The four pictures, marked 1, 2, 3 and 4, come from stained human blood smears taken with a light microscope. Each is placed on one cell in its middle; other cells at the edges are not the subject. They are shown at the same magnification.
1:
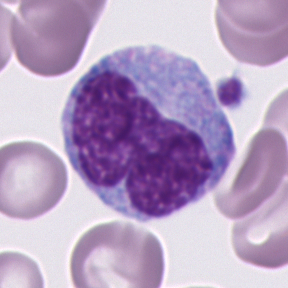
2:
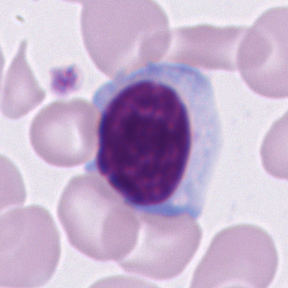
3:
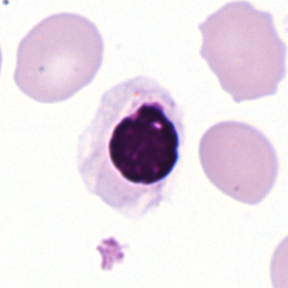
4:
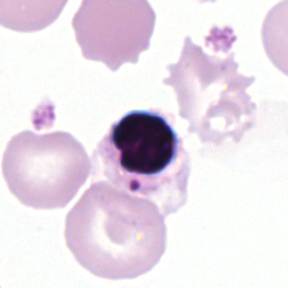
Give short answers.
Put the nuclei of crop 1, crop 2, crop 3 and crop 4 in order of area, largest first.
1, 2, 3, 4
